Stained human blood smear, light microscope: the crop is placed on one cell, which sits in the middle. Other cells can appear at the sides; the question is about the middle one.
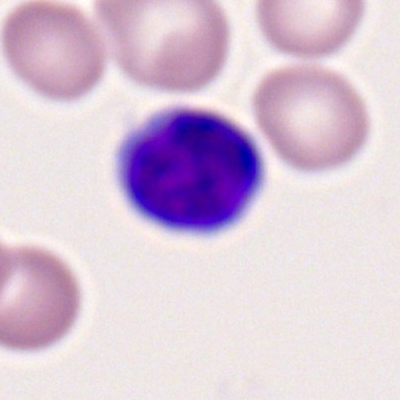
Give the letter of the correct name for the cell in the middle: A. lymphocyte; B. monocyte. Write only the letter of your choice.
A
